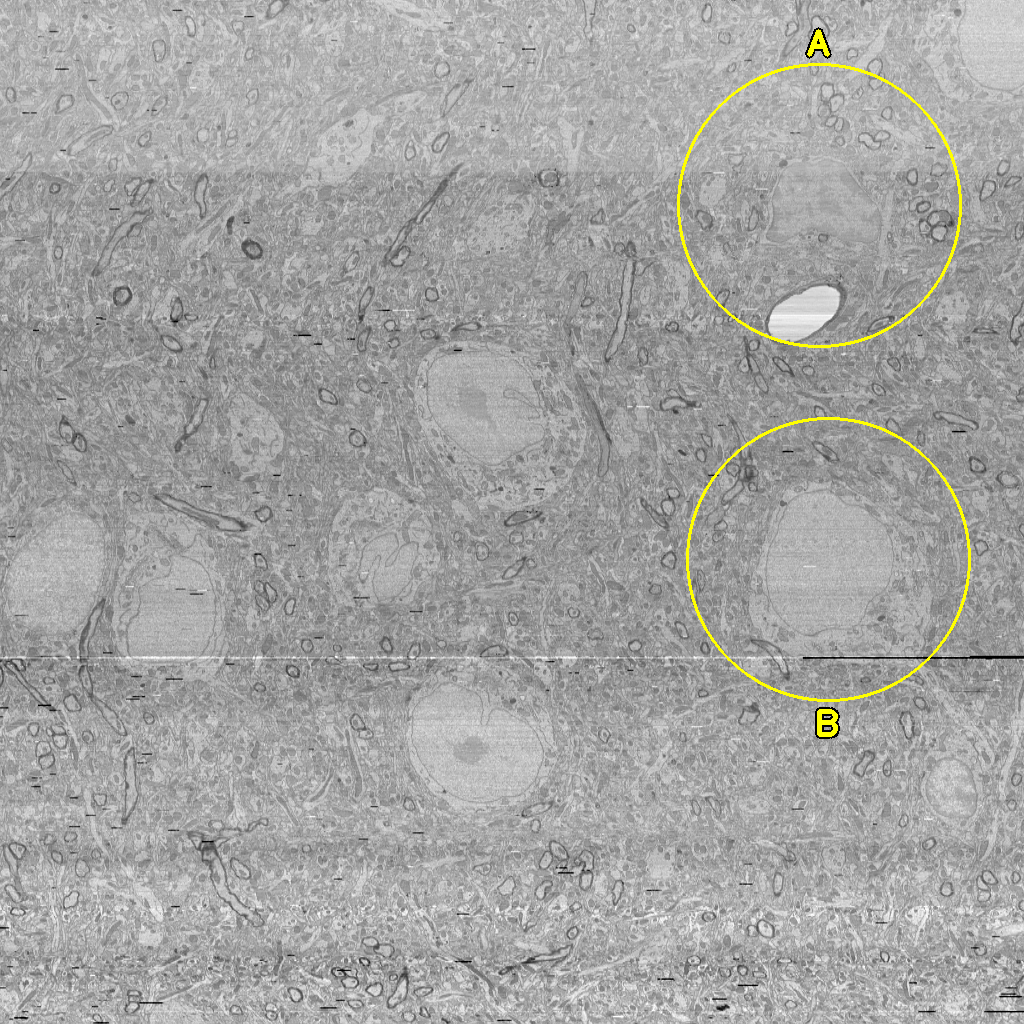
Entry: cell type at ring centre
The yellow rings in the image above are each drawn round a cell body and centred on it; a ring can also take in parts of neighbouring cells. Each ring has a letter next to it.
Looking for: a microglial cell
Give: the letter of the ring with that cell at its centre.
A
